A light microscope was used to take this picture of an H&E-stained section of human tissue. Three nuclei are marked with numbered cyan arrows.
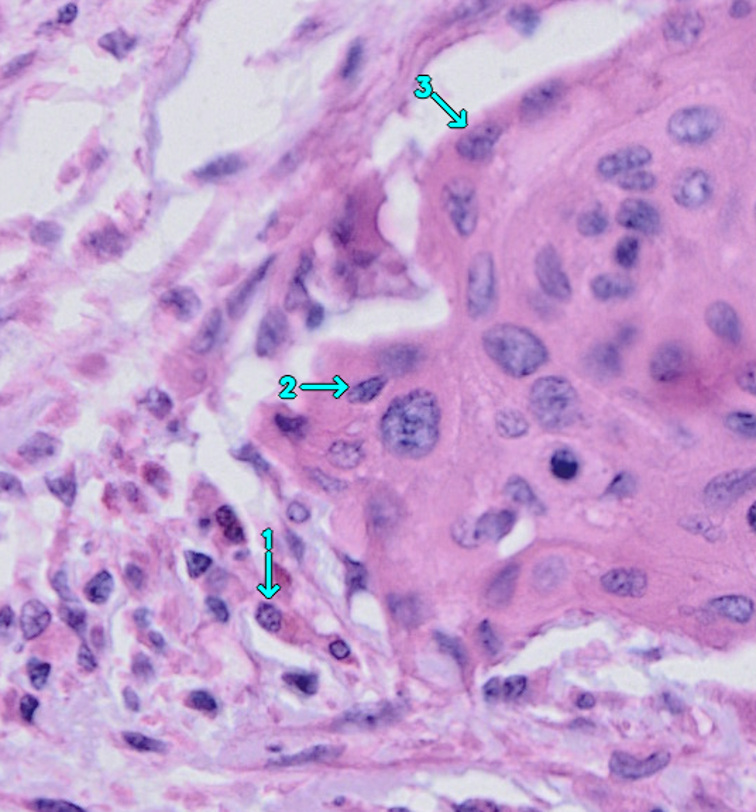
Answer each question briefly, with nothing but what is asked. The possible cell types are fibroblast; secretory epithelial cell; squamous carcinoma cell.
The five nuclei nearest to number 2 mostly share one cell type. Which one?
squamous carcinoma cell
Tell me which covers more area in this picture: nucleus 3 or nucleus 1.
3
